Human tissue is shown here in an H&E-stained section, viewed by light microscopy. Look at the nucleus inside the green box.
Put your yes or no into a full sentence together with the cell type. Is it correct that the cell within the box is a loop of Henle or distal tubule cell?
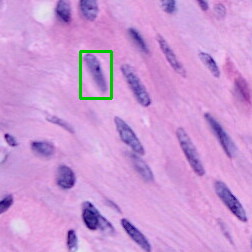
No, the cell within the box is a fibroblast in this section, not a loop of Henle or distal tubule cell.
